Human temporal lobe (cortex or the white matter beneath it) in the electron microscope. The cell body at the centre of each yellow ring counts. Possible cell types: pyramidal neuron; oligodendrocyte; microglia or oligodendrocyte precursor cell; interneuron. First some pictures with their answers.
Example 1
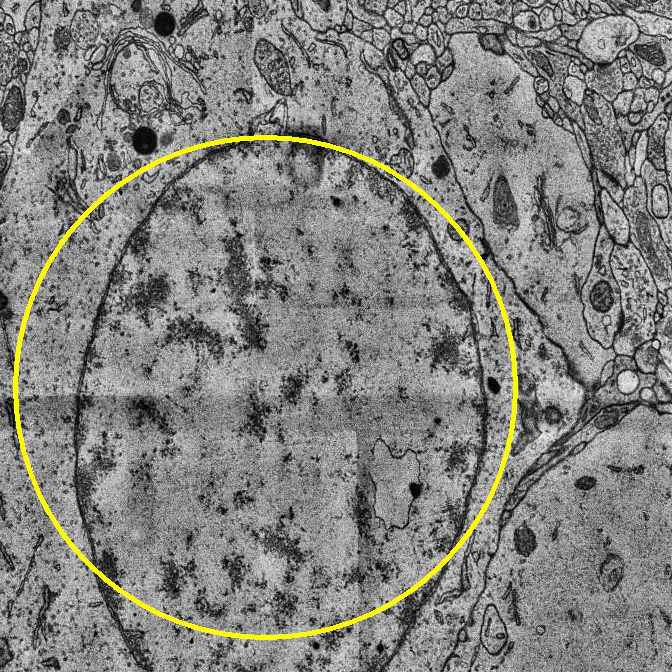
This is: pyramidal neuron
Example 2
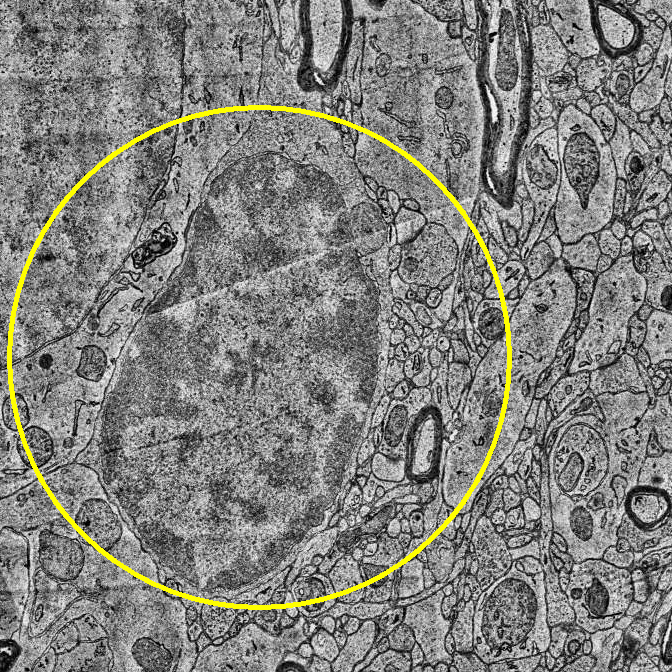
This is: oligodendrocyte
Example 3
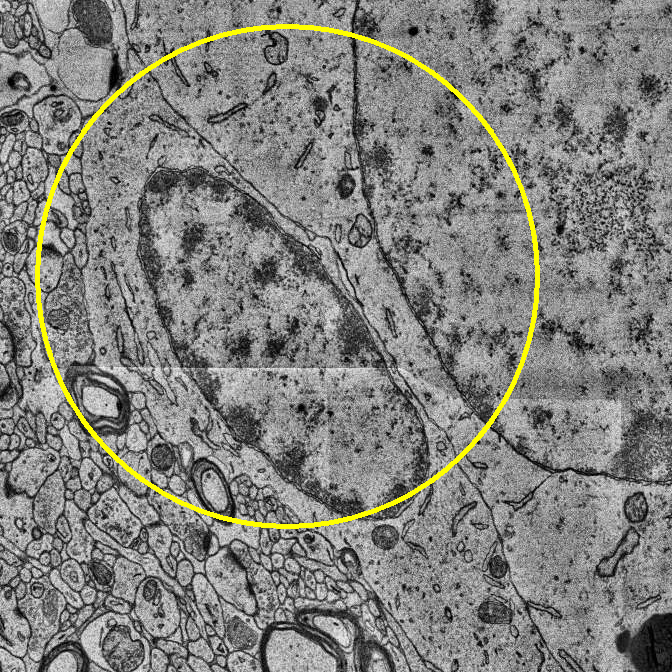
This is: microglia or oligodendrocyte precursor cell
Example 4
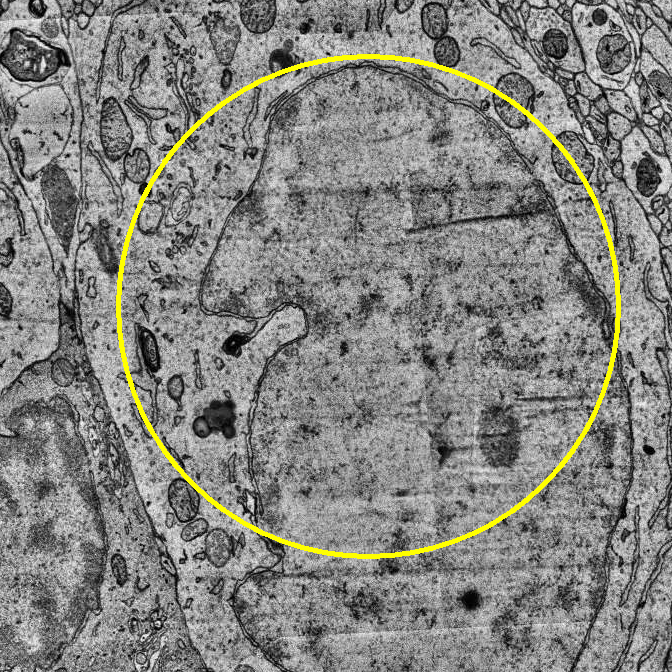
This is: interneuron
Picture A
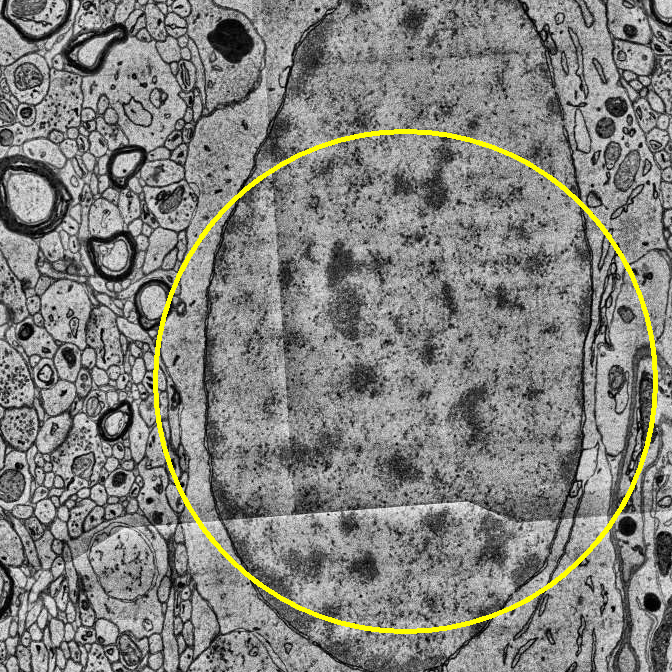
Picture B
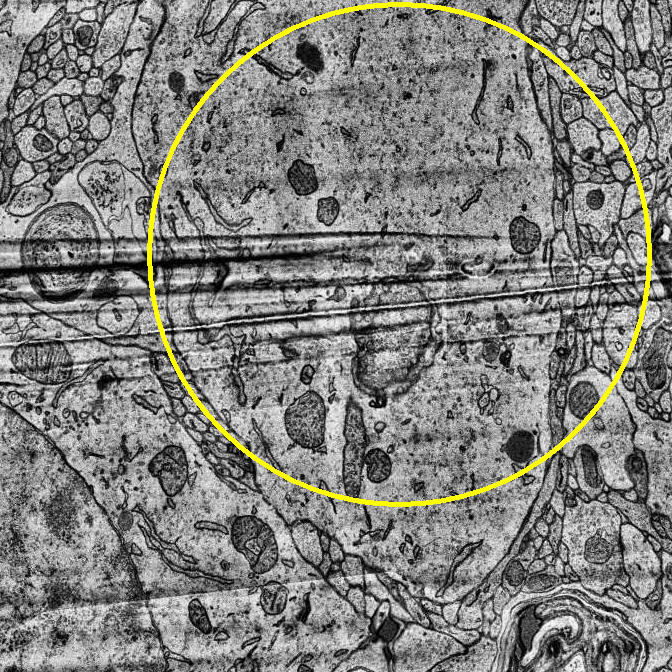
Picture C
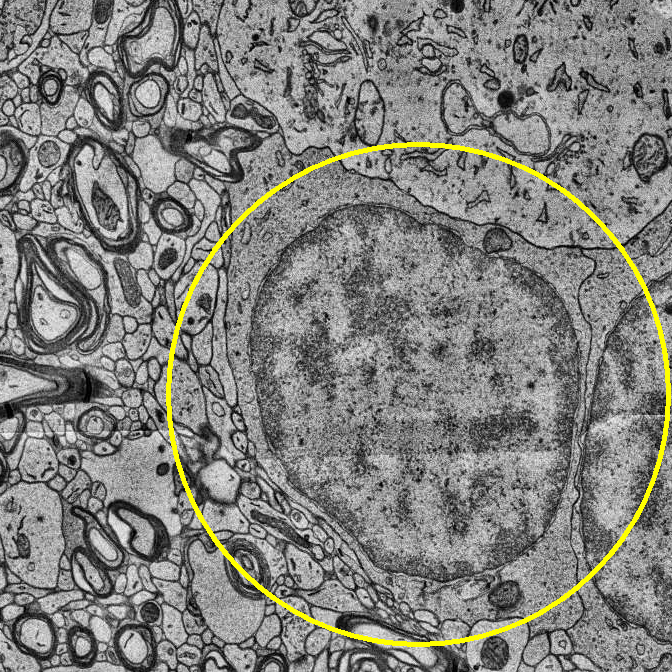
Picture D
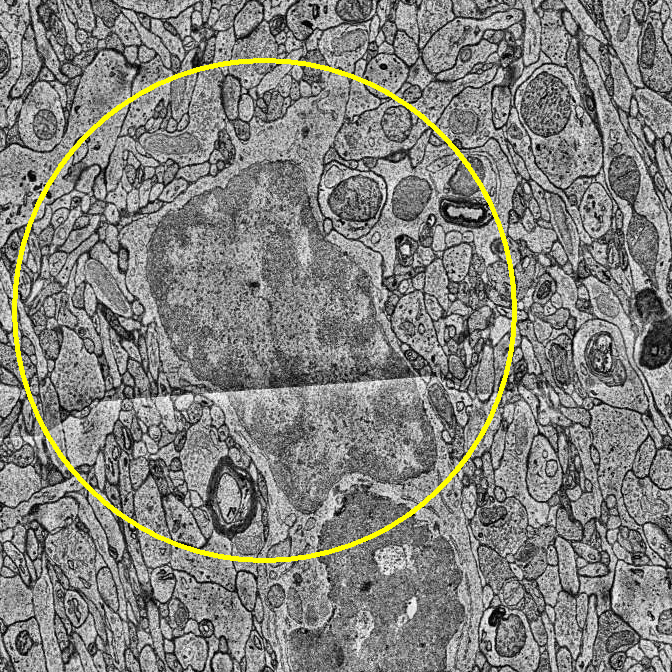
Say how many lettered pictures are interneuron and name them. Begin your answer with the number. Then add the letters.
0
